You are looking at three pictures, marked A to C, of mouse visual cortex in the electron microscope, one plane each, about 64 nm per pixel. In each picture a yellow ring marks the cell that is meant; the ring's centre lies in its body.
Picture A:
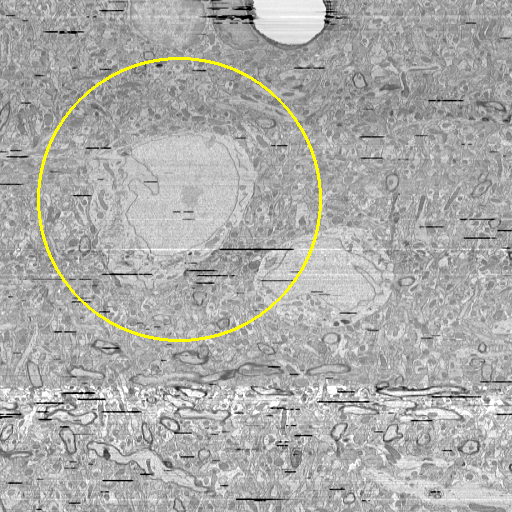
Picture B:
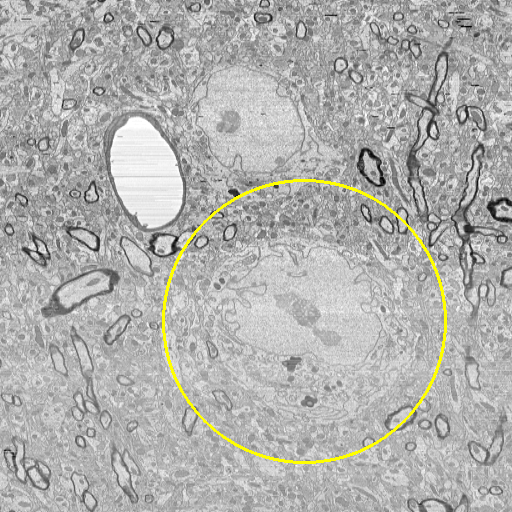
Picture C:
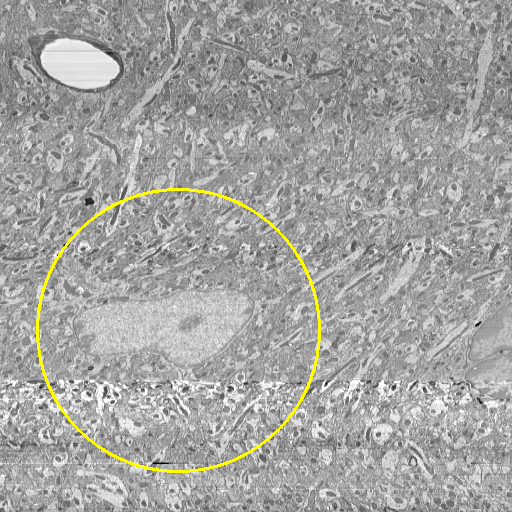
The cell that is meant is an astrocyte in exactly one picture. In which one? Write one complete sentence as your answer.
The picture with the astrocyte is C.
